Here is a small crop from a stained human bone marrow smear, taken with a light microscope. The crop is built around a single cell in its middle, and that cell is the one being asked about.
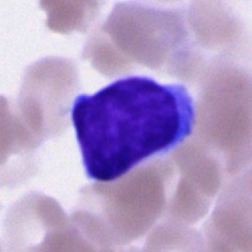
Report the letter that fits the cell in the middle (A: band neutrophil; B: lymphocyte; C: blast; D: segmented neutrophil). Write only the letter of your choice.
B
